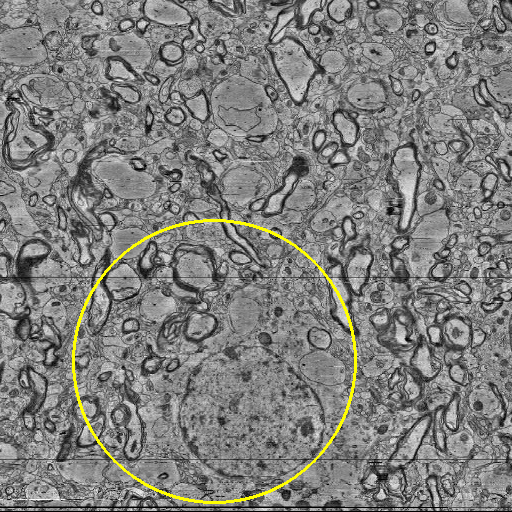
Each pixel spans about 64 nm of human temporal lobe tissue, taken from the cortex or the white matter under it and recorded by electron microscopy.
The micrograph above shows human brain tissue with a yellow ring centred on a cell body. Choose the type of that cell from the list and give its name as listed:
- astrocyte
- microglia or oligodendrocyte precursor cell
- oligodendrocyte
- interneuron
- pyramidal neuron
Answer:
astrocyte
